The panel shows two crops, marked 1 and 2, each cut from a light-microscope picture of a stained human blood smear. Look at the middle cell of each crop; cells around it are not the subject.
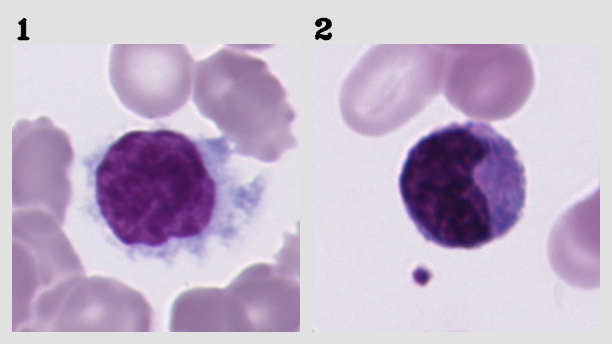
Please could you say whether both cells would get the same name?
no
